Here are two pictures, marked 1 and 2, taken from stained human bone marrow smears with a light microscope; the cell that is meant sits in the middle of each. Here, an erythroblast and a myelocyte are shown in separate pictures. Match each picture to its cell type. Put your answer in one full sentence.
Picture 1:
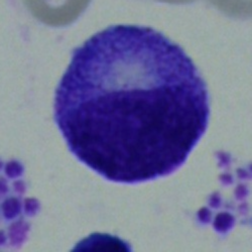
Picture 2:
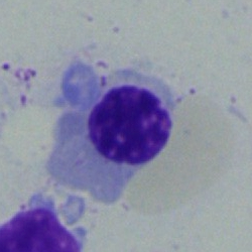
Picture 2 shows an erythroblast, while picture 1 shows a myelocyte.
